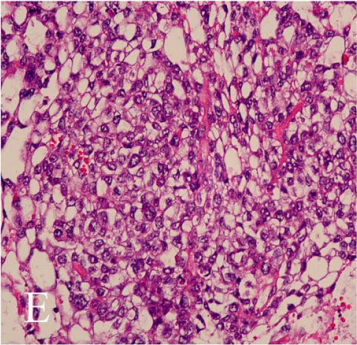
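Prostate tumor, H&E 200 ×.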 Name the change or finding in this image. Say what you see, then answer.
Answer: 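Nuclear atypia. Large cells with enlarged, irregular, dark nuclei. Nuclei vary in size and shape. Cytoplasm ranges from pink to clear.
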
